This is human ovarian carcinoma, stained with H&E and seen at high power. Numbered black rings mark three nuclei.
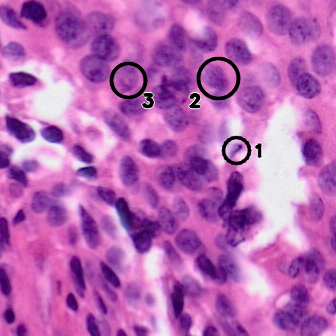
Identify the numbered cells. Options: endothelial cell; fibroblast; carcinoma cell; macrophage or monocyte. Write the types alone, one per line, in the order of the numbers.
macrophage or monocyte
carcinoma cell
carcinoma cell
